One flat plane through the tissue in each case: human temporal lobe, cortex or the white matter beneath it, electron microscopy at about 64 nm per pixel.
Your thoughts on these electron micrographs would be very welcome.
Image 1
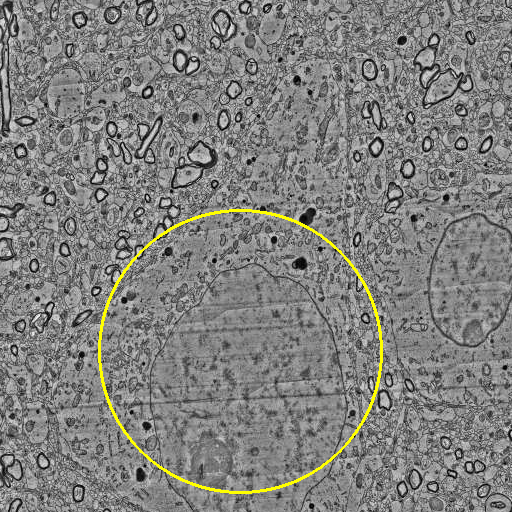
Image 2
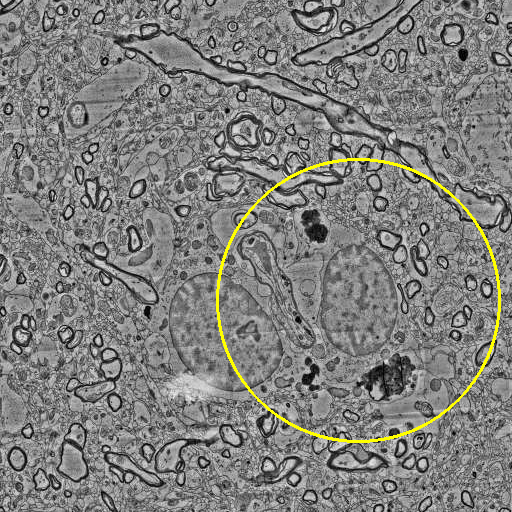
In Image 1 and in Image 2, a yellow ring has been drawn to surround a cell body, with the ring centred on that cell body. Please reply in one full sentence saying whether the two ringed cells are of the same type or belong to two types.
The ringed cells in Image 1 and Image 2 belong to two types.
